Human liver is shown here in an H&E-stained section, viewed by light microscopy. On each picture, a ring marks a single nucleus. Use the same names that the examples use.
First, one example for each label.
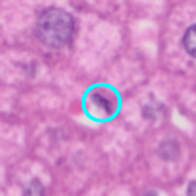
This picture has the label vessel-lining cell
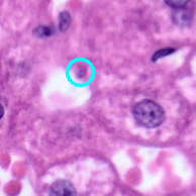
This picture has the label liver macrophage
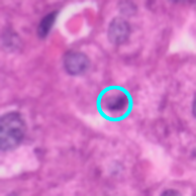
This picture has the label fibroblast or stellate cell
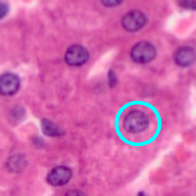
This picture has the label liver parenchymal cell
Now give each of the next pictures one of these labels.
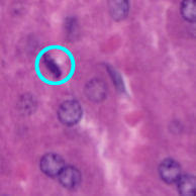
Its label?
fibroblast or stellate cell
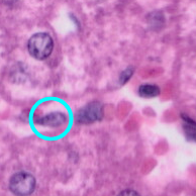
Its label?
liver macrophage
